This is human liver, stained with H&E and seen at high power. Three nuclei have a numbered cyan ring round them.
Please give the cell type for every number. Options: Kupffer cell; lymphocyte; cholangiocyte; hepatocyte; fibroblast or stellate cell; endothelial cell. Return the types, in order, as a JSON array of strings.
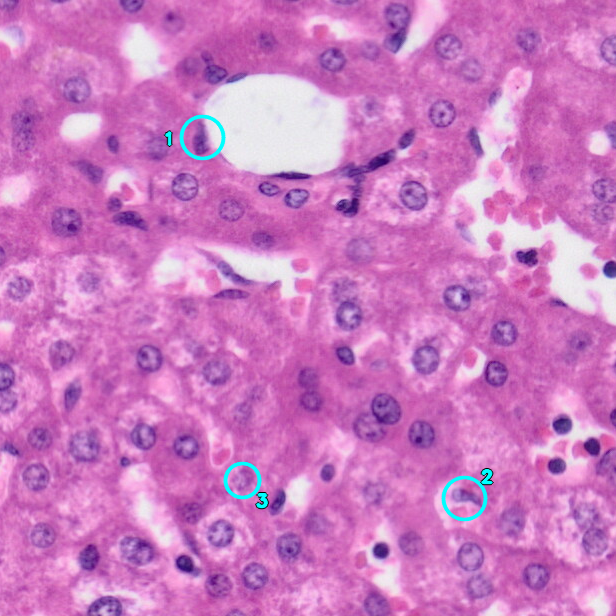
["fibroblast or stellate cell", "endothelial cell", "hepatocyte"]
